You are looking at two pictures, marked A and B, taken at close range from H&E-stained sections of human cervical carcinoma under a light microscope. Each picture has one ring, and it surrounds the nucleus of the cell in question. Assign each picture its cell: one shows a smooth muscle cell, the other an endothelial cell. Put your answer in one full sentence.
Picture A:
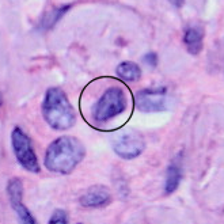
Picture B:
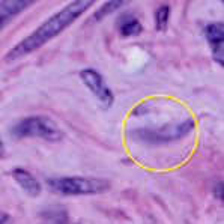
Picture A is of an endothelial cell, and picture B is of a smooth muscle cell.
